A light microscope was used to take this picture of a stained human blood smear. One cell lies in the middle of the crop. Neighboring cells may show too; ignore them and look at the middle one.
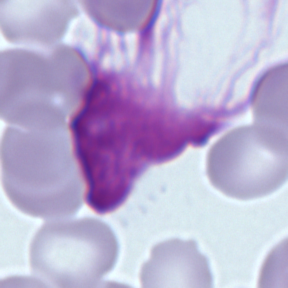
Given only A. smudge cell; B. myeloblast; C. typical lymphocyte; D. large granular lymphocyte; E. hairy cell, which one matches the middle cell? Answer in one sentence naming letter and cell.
The cell right in the middle is a smudge cell, so option A is the one.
